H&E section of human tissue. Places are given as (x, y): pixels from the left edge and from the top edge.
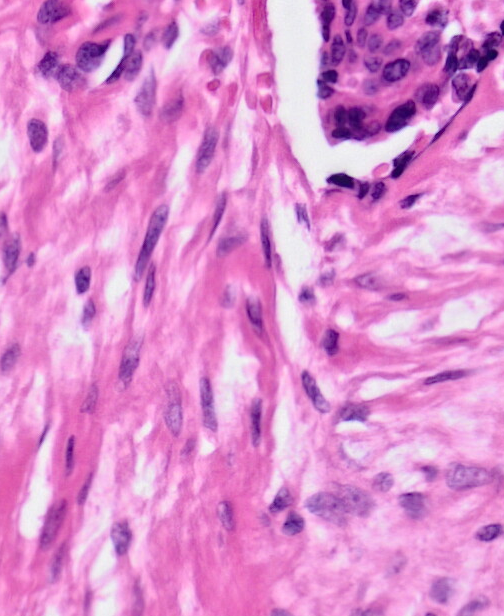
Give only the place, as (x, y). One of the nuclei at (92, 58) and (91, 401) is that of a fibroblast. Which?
(91, 401)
